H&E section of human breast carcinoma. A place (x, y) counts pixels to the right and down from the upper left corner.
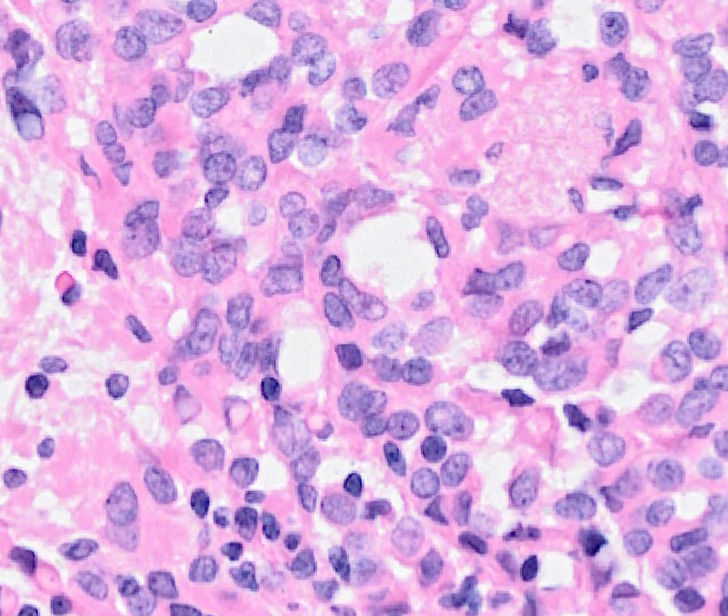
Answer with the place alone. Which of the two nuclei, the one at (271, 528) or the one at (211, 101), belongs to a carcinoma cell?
(211, 101)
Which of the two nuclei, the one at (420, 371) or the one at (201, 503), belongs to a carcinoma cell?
(420, 371)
